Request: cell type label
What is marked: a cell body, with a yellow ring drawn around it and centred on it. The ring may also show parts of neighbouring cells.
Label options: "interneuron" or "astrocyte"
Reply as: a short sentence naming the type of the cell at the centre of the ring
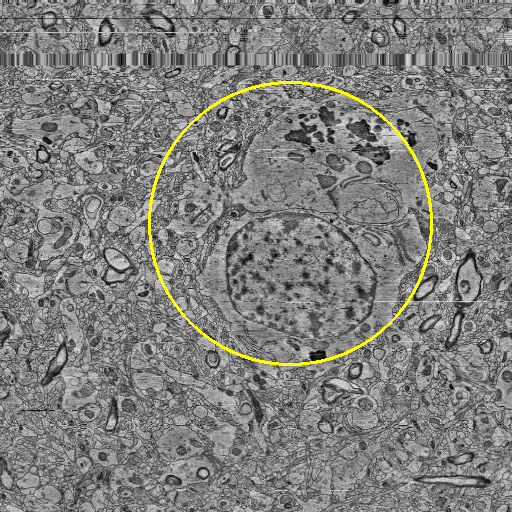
The marked cell body is that of an astrocyte.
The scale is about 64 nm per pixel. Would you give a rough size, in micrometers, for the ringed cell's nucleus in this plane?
In this plane, the nucleus is roughly 10 by 8 micrometres.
